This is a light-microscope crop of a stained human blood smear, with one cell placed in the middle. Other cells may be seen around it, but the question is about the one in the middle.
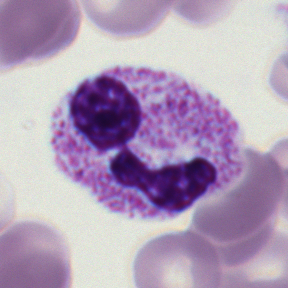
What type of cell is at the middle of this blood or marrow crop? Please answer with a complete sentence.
The centered cell in this crop is a neutrophil.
